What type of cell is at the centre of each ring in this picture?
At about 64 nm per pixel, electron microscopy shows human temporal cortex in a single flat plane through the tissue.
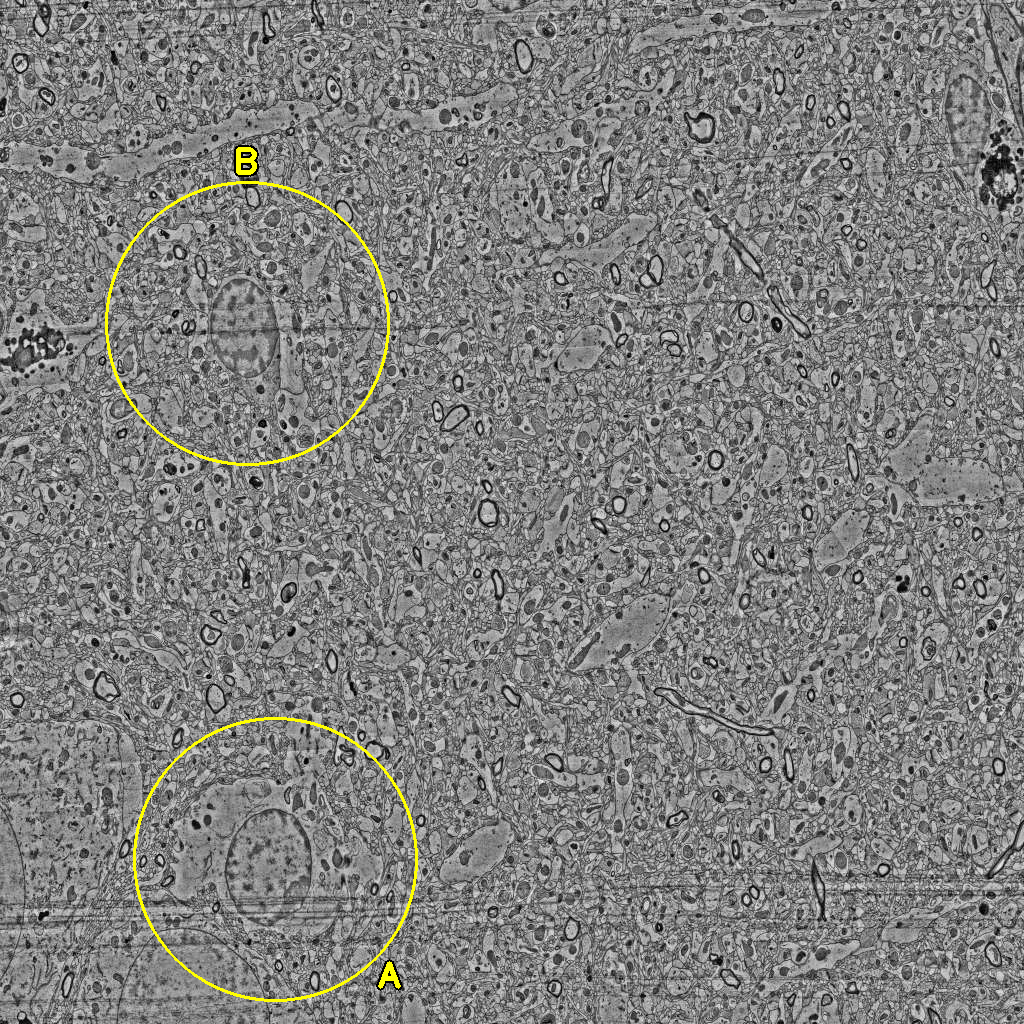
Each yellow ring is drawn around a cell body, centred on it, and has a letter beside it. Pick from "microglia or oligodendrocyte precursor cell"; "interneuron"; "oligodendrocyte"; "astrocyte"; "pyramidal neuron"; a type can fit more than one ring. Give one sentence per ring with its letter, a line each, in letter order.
The ring marked A is centred on an astrocyte.
The ring marked B is centred on an oligodendrocyte.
